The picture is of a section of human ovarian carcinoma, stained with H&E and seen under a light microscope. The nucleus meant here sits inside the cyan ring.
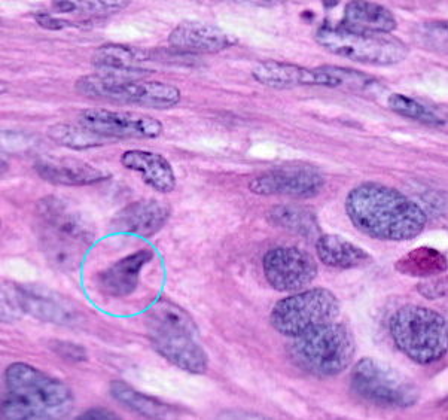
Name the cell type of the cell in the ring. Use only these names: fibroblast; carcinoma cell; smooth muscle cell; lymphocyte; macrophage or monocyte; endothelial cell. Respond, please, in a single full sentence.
Labelled by cell type, the cell in the ring is a macrophage or monocyte.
